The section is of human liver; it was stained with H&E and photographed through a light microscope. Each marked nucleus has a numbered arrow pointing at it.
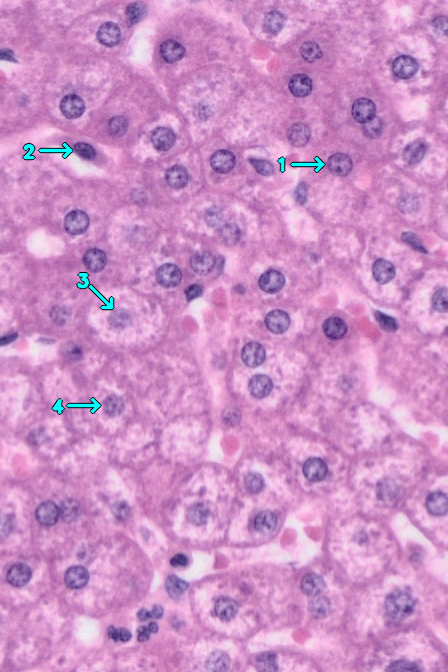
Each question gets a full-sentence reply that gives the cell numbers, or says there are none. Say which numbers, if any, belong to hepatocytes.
The cells that bear the numbers 1, 3 and 4 are hepatocytes.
